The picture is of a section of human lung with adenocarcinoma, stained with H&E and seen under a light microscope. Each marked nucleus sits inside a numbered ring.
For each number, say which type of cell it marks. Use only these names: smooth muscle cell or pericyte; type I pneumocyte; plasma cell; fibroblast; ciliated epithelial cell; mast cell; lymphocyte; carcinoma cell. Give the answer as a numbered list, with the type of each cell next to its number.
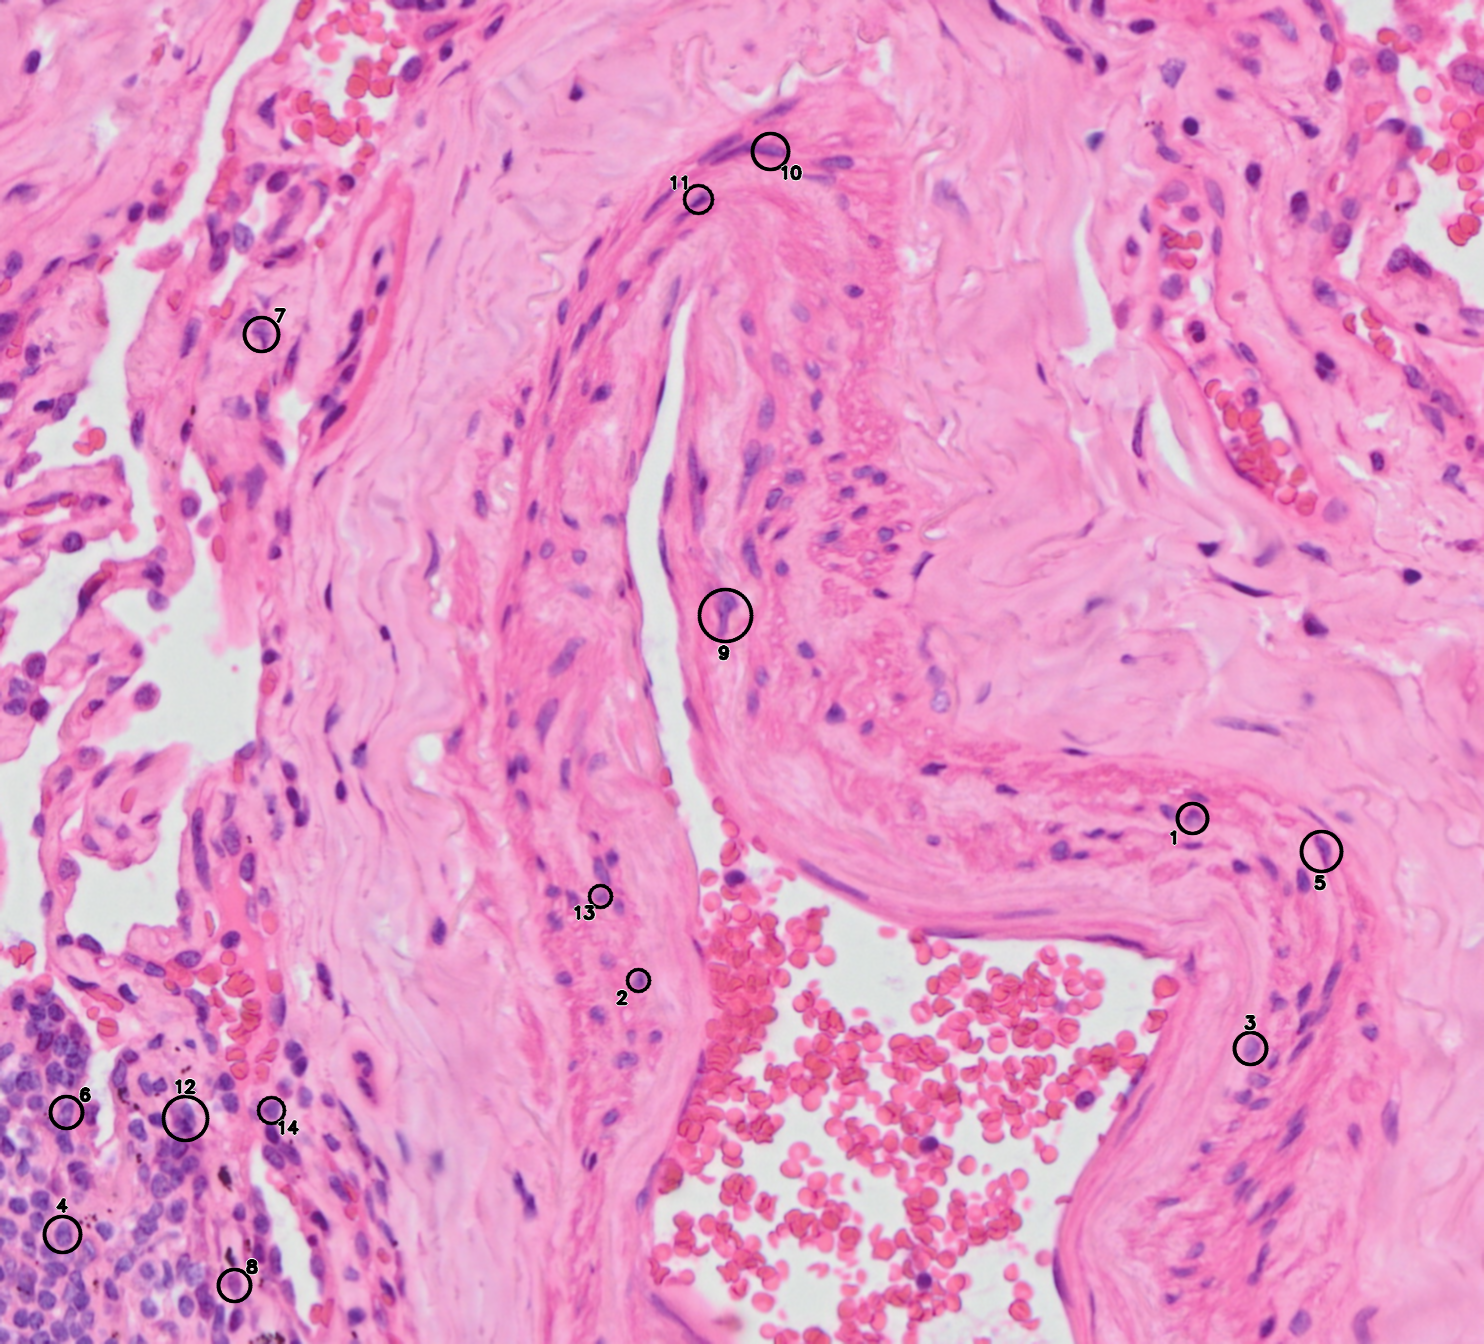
1. smooth muscle cell or pericyte
2. smooth muscle cell or pericyte
3. smooth muscle cell or pericyte
4. lymphocyte
5. smooth muscle cell or pericyte
6. lymphocyte
7. fibroblast
8. plasma cell
9. smooth muscle cell or pericyte
10. smooth muscle cell or pericyte
11. smooth muscle cell or pericyte
12. lymphocyte
13. smooth muscle cell or pericyte
14. lymphocyte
